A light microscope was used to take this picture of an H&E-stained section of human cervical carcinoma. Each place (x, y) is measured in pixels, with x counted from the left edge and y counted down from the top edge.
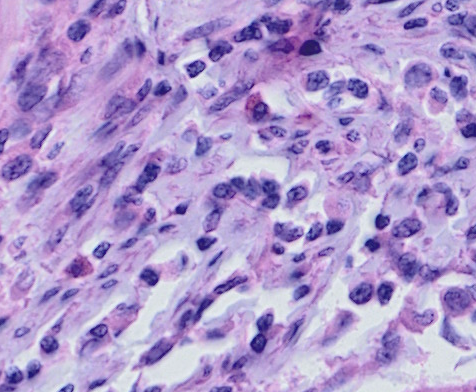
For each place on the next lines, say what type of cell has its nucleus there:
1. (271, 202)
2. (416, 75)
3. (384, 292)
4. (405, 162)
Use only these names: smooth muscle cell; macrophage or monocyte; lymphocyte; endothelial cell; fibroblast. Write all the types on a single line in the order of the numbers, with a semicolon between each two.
lymphocyte; macrophage or monocyte; lymphocyte; lymphocyte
